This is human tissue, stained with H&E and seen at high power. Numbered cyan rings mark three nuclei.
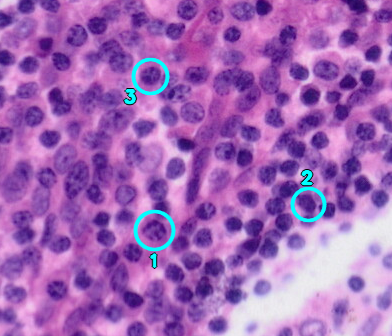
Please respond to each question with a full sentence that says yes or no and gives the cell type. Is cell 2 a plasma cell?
No, number 2 is not a plasma cell but a small lymphocyte.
